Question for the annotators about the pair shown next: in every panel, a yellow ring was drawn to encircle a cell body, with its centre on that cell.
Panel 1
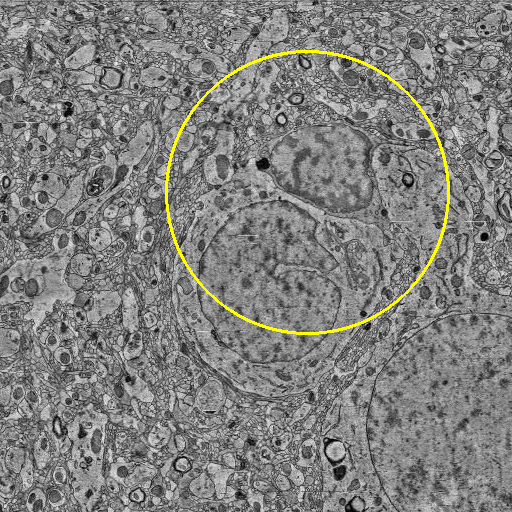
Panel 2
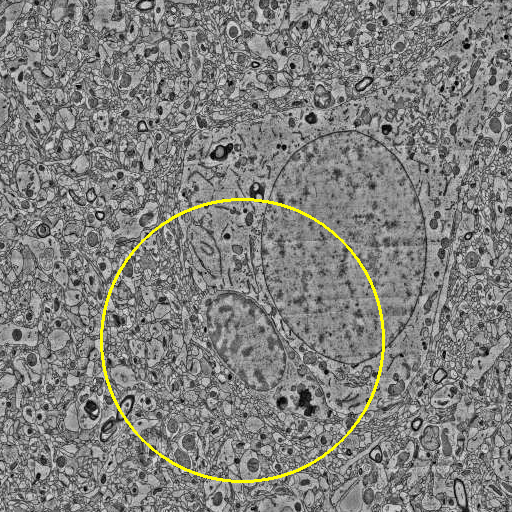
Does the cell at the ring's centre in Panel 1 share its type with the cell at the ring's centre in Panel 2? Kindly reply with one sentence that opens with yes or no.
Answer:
Yes, in Panels 1 and 2 the cells at the ring centres belong to a single type.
